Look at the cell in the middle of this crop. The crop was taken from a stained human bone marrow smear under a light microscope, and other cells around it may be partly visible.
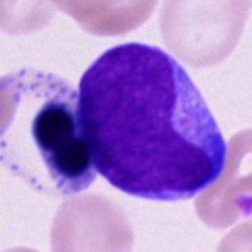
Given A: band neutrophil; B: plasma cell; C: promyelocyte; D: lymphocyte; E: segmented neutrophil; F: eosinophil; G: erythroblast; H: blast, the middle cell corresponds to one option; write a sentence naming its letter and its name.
The middle cell of the crop is a blast; accordingly, option H is correct.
